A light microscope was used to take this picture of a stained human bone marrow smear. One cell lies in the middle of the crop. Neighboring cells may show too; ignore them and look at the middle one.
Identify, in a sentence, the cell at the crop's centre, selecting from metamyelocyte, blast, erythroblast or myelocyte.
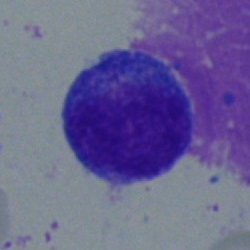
The middle of this crop is occupied by a blast.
